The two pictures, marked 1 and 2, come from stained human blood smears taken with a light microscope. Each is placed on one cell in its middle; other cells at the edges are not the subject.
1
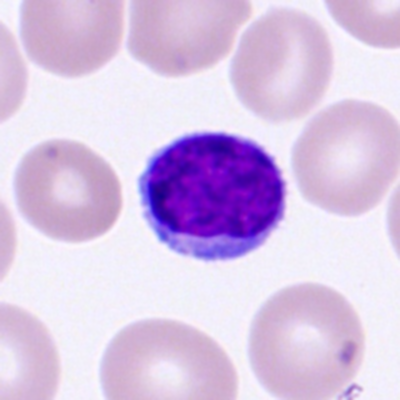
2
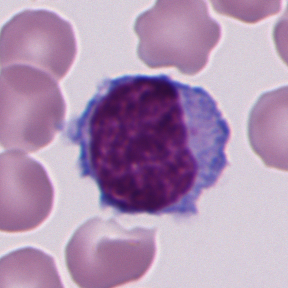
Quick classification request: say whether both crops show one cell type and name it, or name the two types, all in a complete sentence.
No, just to correct that: crop 1 shows a lymphocyte, crop 2 shows a blast.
